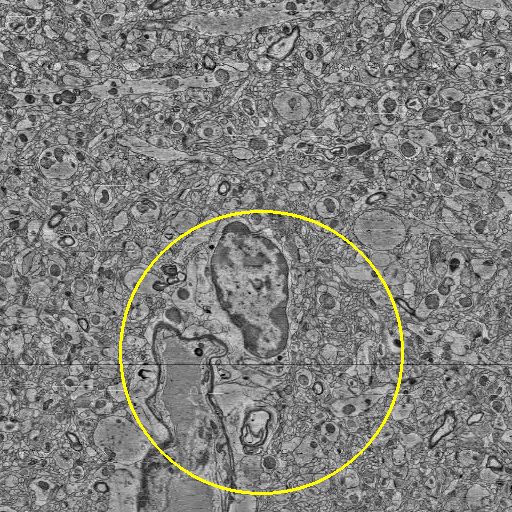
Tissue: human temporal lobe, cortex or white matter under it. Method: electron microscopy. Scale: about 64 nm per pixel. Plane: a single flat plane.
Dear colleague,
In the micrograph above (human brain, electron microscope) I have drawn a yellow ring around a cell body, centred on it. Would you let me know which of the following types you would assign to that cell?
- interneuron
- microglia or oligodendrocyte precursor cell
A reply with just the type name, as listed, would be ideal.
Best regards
microglia or oligodendrocyte precursor cell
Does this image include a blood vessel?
Yes, there is one.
